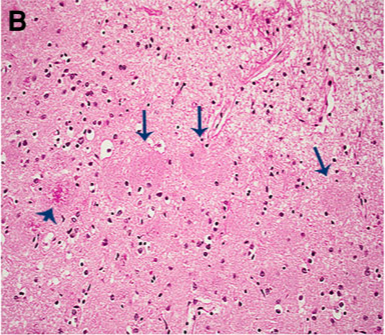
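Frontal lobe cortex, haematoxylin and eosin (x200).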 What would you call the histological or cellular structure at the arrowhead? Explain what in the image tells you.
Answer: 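A small, compact, deeply eosinophilic core lies in the neuropil. On this evidence: dense-cored plaque.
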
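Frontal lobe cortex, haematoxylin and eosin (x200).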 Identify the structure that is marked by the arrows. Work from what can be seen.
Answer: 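Rounded, pale pink, ill-defined fluffy areas lie in the cortical neuropil. These areas lack a dense central core. They displace the surrounding cells without a sharp border. So: cotton wool plaques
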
